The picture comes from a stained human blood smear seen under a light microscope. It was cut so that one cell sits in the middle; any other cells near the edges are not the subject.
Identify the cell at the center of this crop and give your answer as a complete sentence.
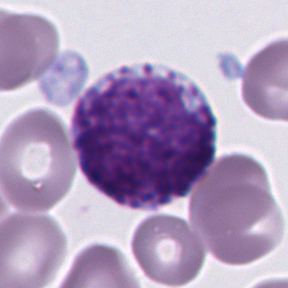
Standing at the centre of this crop is a basophil.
